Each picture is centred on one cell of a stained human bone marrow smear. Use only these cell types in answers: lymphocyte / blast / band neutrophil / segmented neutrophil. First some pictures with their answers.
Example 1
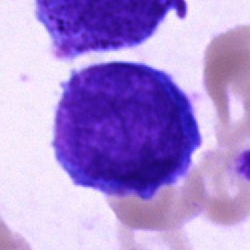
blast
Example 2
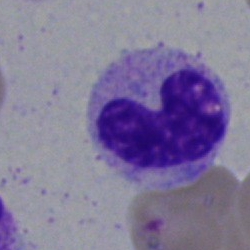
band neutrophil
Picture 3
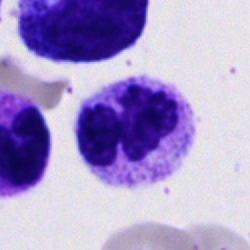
segmented neutrophil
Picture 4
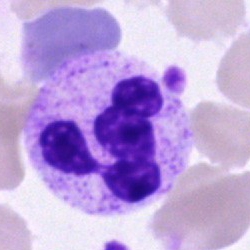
segmented neutrophil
